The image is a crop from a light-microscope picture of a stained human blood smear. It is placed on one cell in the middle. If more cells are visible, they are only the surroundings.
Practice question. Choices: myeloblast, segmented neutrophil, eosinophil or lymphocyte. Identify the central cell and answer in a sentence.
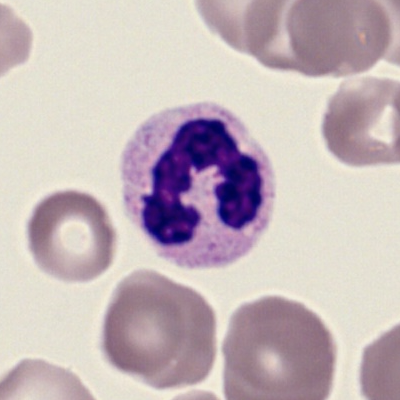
The cell shown in the center of this light-microscope crop is a segmented neutrophil.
